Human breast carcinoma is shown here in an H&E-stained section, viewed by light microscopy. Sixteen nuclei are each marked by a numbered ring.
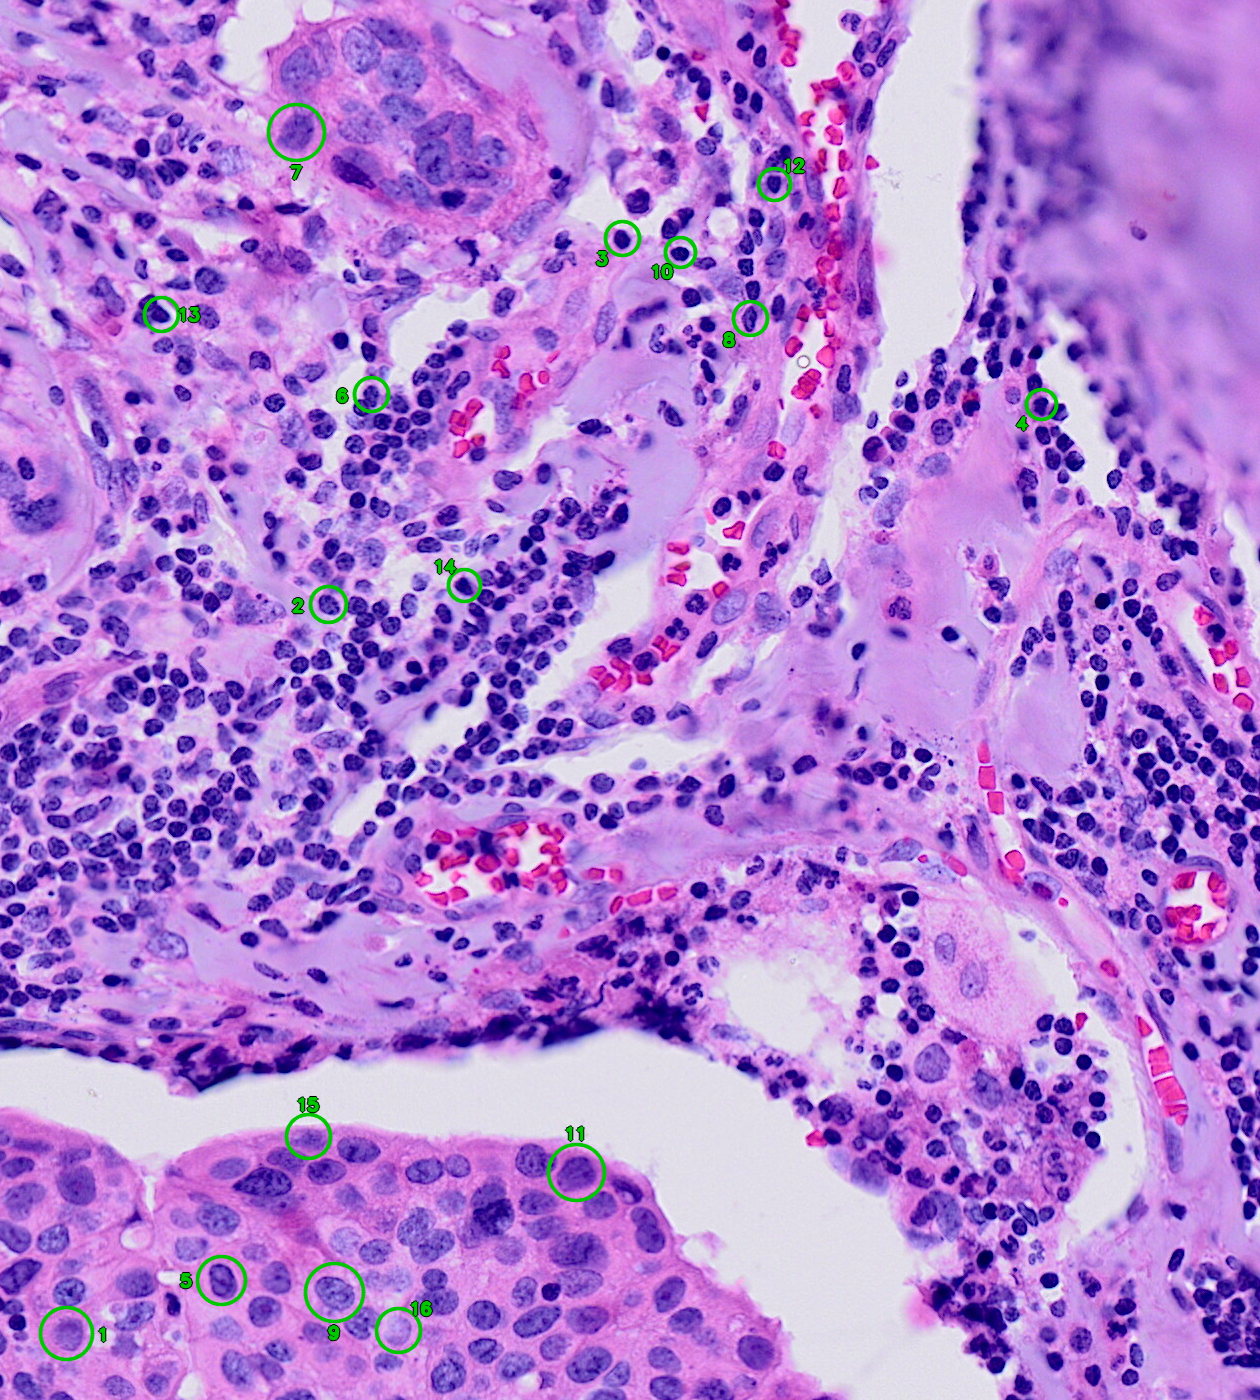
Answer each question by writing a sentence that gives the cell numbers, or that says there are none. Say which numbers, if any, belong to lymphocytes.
The cells to which the numbers 2, 3, 4, 6, 8, 10, 12, 13 and 14 refer are lymphocytes.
